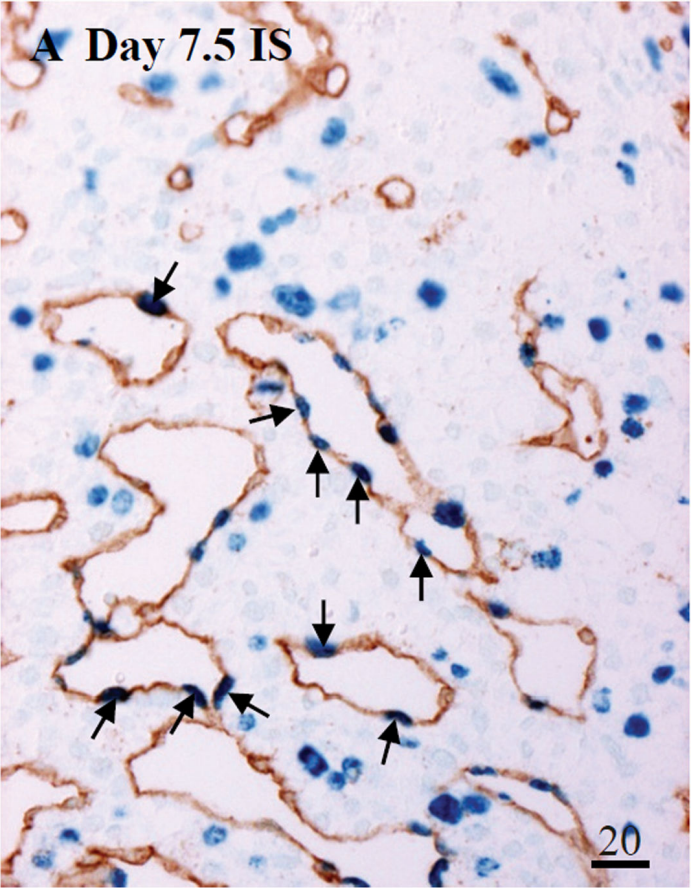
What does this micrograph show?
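Thin-walled vascular sinusoids, lined by endothelial cells, run through the surrounding tissue. Each channel is an irregular, empty lumen bounded by a thin, continuous brown lining with no thicker wall around it. Between the channels lie more rounded cells with pale nuclei, many of which are also blue. Smaller round and oval brown-outlined vessels are scattered in the upper part of the field.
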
